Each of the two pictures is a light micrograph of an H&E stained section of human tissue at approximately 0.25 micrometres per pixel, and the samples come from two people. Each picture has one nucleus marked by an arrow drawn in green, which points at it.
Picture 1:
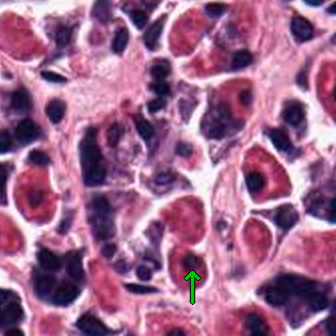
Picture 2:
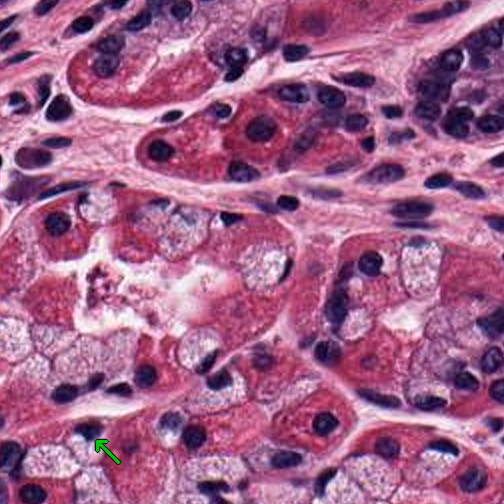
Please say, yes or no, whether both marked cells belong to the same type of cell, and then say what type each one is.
No, the first is a parietal cell and the second a mucous gland cell.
